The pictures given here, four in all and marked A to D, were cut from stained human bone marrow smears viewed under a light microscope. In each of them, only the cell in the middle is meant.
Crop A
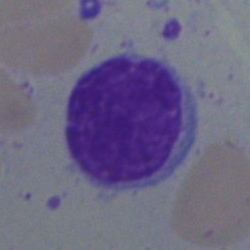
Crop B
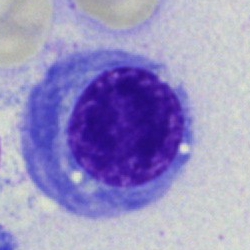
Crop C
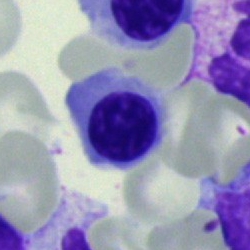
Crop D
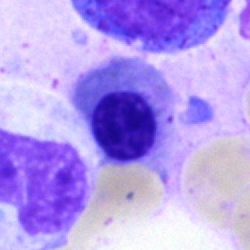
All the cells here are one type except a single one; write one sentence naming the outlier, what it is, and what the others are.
The different crop is A; it is a lymphocyte, and the others all show normoblasts.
